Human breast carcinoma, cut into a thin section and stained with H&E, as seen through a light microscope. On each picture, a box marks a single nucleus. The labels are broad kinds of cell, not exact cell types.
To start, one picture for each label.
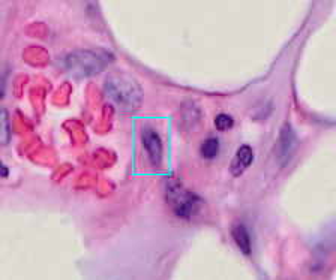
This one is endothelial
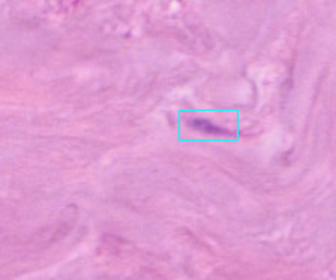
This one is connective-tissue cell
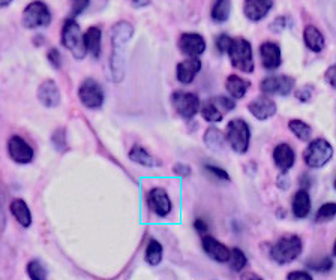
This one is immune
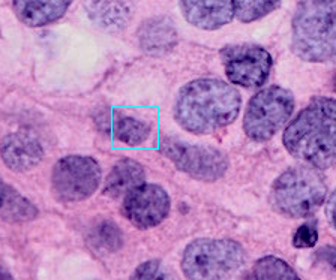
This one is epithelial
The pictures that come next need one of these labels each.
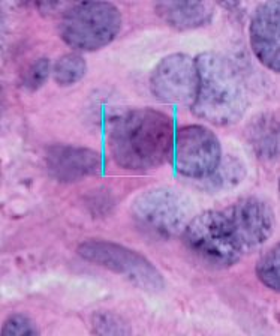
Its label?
epithelial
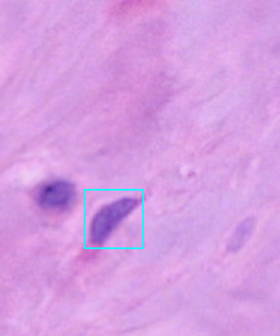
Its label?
connective-tissue cell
